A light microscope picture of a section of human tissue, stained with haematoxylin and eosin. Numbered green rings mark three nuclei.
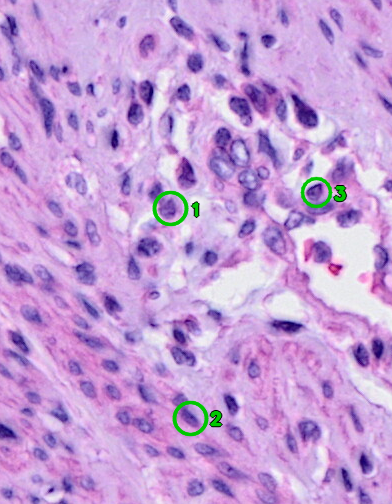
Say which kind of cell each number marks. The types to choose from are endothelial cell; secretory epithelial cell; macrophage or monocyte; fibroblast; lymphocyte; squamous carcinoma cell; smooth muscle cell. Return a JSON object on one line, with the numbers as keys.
{"1": "macrophage or monocyte", "2": "smooth muscle cell", "3": "lymphocyte"}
